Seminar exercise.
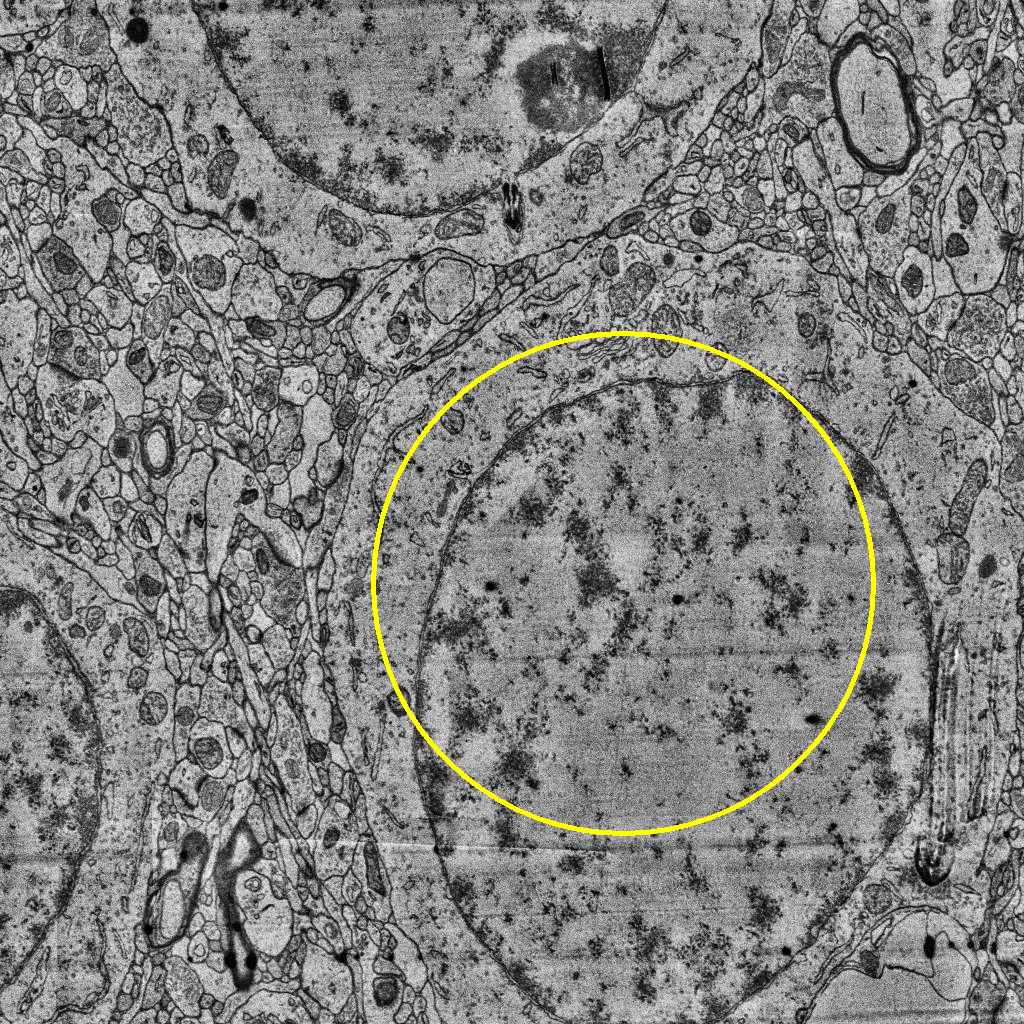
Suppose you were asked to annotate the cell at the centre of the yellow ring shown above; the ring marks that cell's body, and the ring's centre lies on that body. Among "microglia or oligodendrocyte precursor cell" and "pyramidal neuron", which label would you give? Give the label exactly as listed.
pyramidal neuron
